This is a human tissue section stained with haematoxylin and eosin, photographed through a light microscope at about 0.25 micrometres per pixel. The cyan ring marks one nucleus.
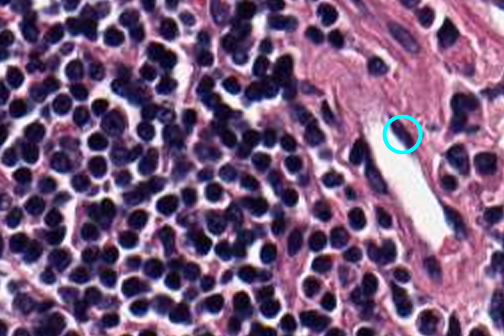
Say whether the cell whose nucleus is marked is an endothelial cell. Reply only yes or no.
yes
